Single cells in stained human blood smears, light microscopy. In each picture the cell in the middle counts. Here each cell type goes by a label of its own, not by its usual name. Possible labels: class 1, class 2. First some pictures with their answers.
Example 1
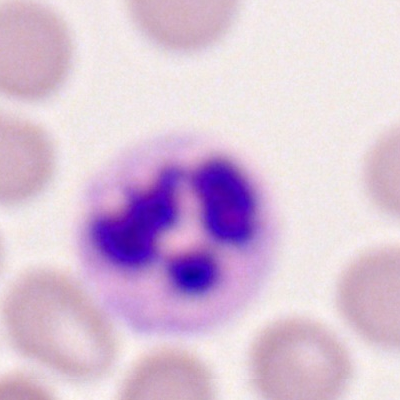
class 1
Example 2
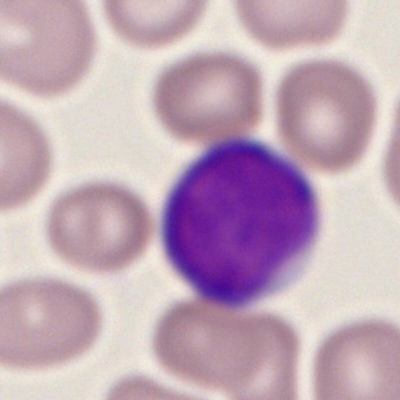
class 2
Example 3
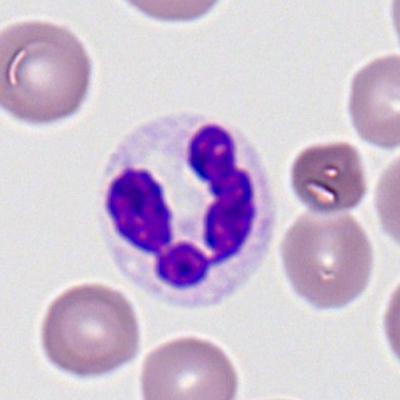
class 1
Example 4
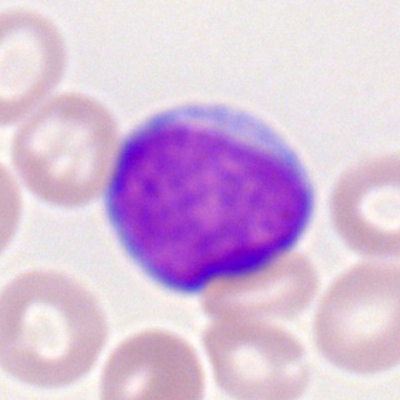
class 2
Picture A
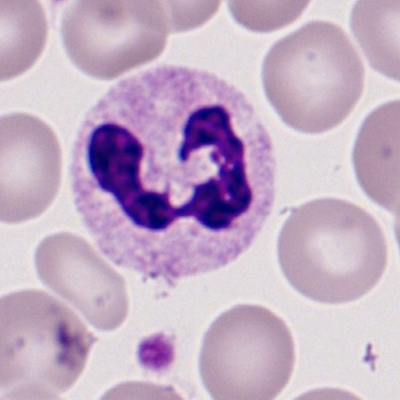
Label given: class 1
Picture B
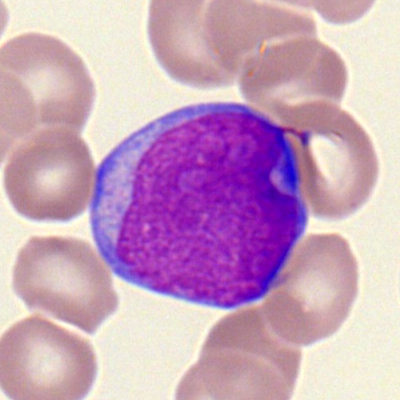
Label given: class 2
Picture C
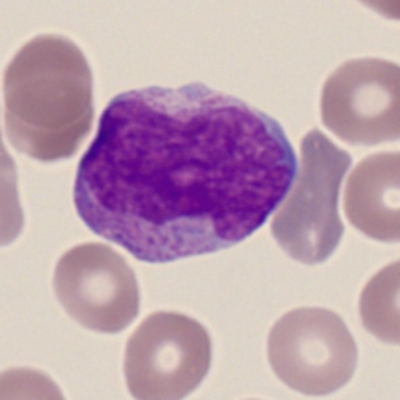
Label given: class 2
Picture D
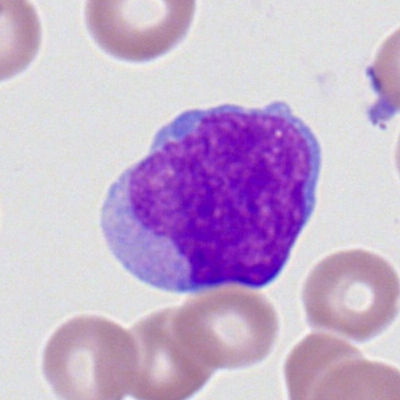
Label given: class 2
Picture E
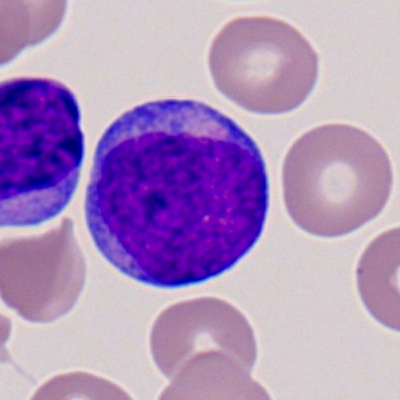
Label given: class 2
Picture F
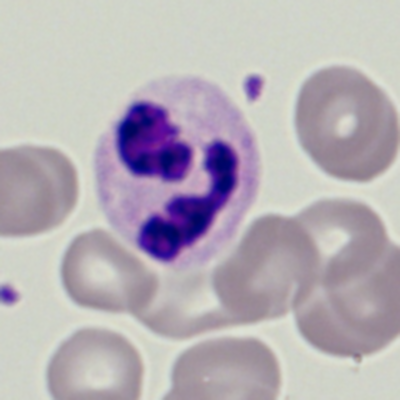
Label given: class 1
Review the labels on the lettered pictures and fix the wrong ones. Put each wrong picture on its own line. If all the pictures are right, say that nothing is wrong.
All labels are correct.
